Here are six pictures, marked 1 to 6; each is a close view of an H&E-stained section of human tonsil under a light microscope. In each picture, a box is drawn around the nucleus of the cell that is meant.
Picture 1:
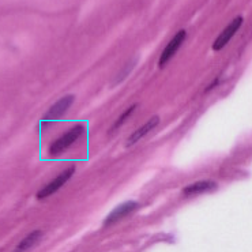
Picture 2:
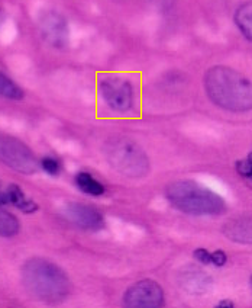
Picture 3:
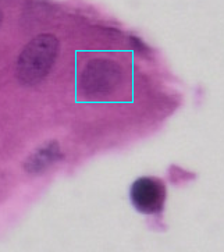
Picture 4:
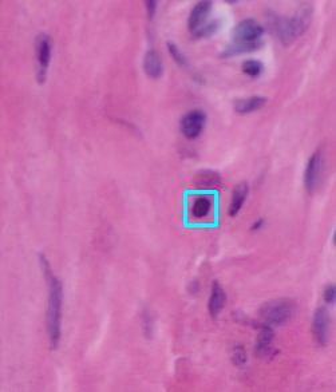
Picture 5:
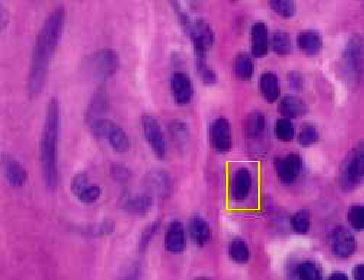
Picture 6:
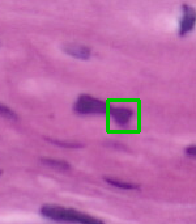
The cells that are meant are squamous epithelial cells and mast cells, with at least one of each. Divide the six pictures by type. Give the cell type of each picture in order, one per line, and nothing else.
squamous epithelial cell
squamous epithelial cell
squamous epithelial cell
mast cell
mast cell
squamous epithelial cell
